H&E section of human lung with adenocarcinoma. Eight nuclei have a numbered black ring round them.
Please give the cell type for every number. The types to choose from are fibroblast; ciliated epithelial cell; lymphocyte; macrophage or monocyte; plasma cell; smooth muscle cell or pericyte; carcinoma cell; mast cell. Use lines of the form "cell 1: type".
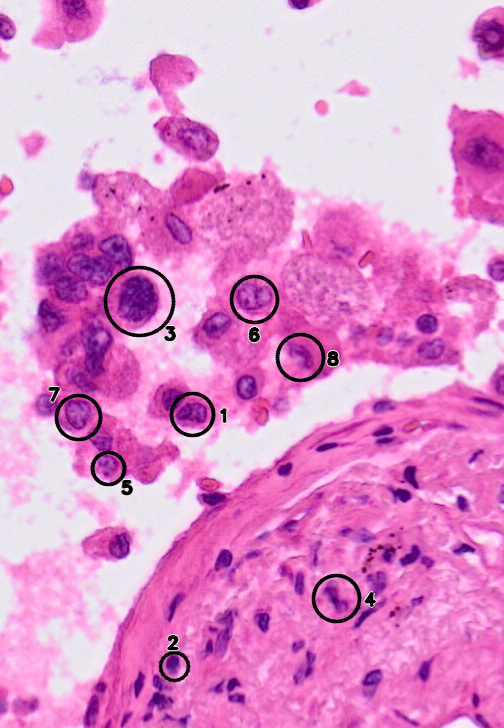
cell 1: macrophage or monocyte
cell 2: lymphocyte
cell 3: carcinoma cell
cell 4: plasma cell
cell 5: macrophage or monocyte
cell 6: macrophage or monocyte
cell 7: macrophage or monocyte
cell 8: macrophage or monocyte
